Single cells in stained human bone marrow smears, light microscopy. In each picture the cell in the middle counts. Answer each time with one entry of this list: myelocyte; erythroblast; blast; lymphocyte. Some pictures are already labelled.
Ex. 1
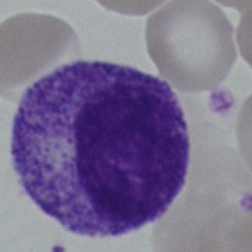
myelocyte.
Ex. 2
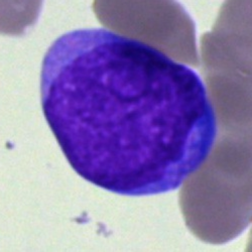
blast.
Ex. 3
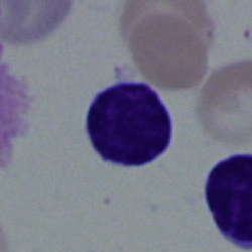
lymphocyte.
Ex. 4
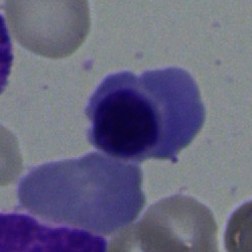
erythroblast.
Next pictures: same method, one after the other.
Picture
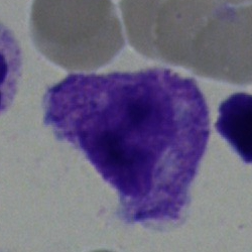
myelocyte.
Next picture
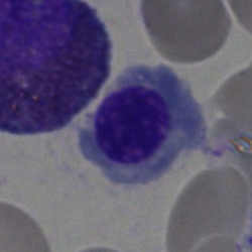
erythroblast.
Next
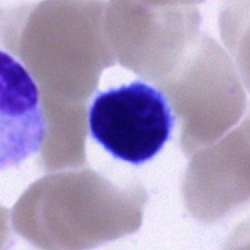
lymphocyte.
